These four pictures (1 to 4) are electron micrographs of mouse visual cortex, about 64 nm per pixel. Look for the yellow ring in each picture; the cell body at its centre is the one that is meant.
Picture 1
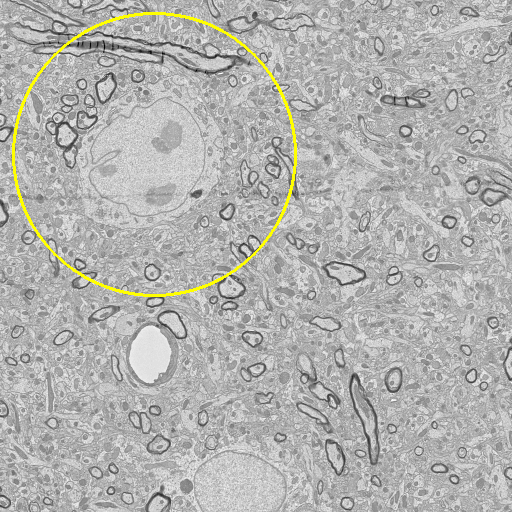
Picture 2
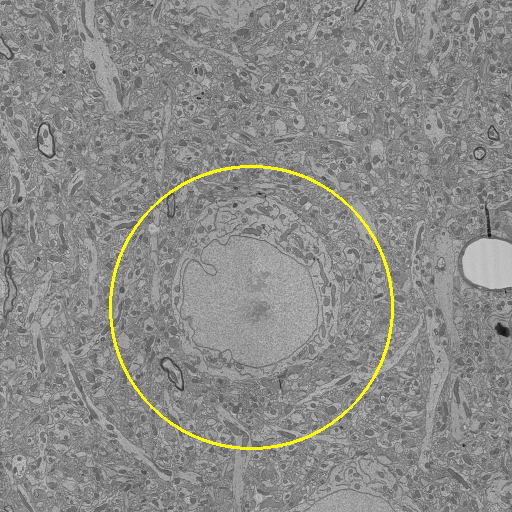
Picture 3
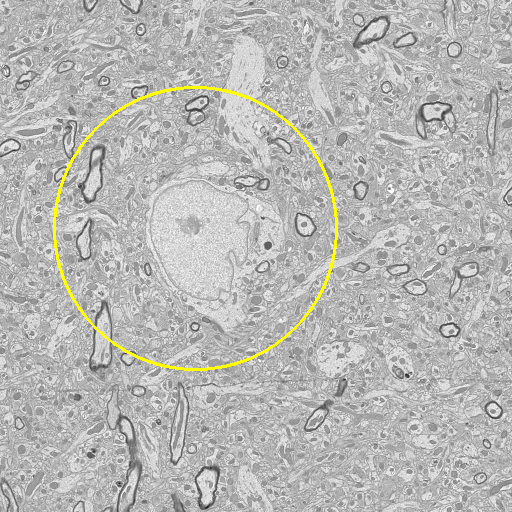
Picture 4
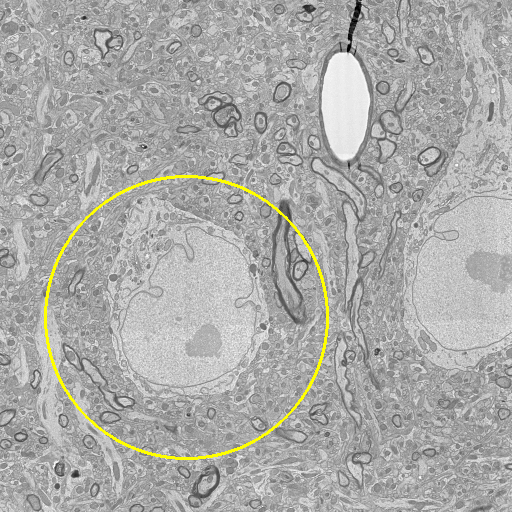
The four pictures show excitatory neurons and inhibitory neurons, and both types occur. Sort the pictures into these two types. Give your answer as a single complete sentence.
Picture 1 shows an excitatory neuron, and pictures 2, 3 and 4 show inhibitory neurons.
